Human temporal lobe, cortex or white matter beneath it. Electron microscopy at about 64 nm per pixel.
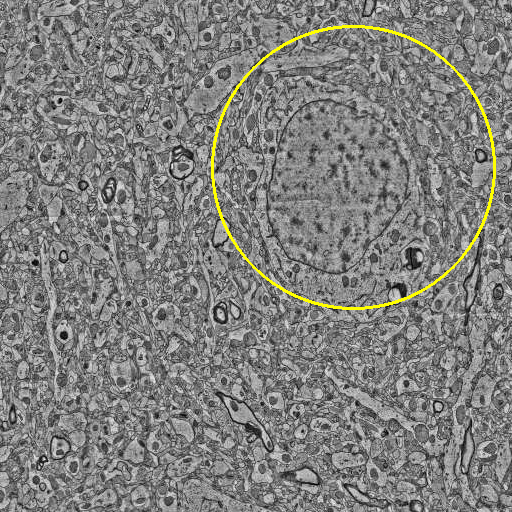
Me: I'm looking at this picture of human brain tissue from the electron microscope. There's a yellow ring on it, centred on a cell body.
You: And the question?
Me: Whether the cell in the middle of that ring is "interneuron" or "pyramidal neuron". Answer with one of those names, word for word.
pyramidal neuron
